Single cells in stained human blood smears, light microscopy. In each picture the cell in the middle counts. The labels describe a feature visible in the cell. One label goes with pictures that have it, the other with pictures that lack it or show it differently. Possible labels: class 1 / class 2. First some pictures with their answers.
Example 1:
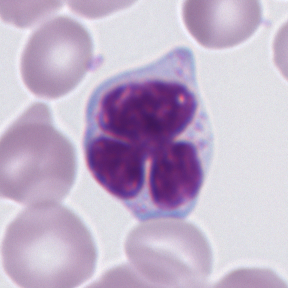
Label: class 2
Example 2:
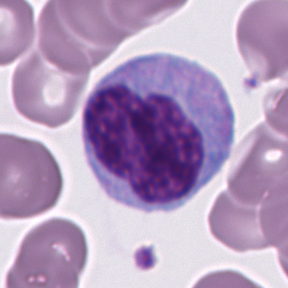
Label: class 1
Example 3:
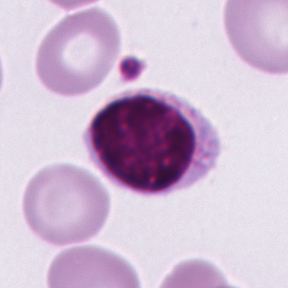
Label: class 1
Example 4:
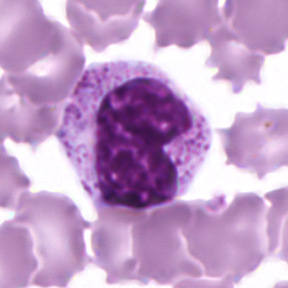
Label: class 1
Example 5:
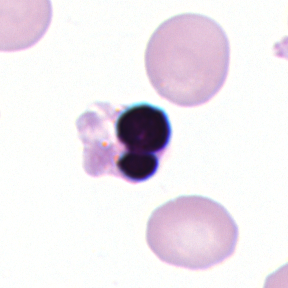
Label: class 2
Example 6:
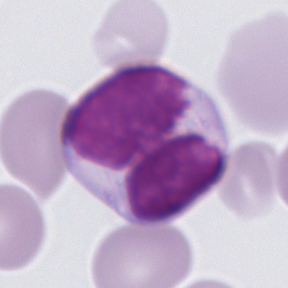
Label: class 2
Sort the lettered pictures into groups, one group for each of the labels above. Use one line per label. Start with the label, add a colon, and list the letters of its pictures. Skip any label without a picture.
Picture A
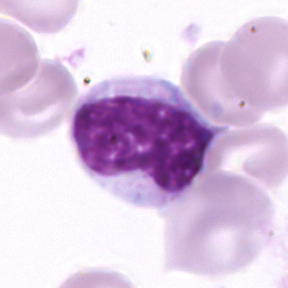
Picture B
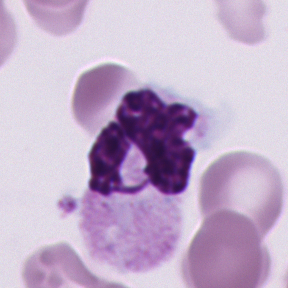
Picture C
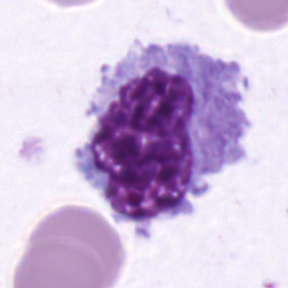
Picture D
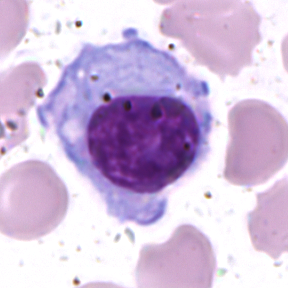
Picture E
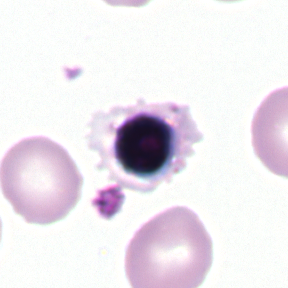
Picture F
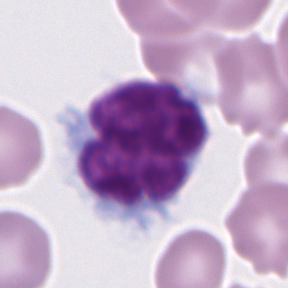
class 1: A, D, E
class 2: B, C, F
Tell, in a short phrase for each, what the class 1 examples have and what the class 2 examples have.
class 1: single compact nucleus; class 2: lobed nucleus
